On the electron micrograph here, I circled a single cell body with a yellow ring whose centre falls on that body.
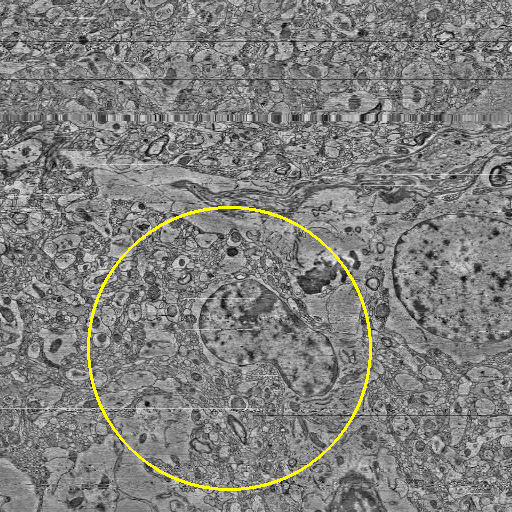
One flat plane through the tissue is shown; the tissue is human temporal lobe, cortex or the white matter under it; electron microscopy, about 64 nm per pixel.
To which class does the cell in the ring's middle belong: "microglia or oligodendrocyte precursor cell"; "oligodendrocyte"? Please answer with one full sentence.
In this picture, the cell body circled at the ring's centre belongs to a microglial cell or oligodendrocyte precursor cell.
